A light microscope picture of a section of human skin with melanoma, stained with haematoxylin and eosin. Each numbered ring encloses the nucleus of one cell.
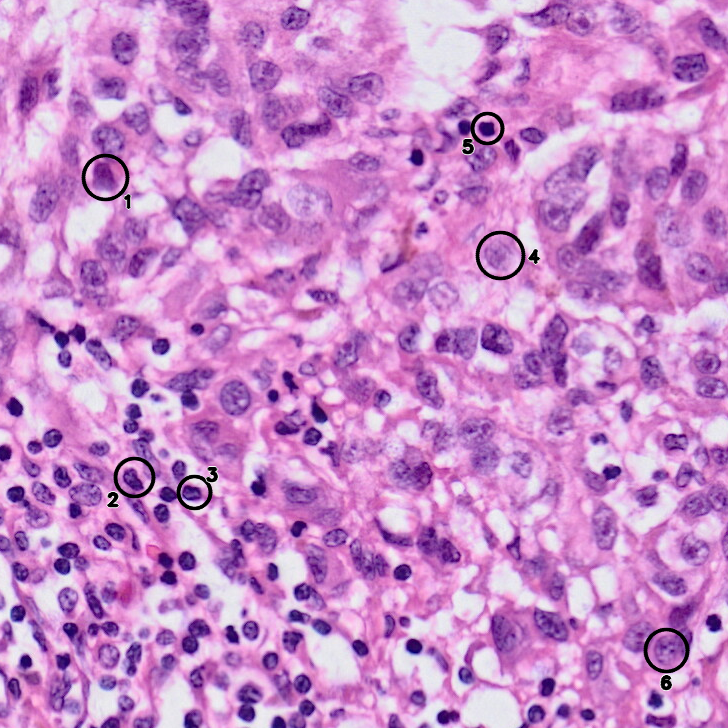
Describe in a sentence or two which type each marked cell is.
Cells 1, 4 and 6 are melanoma cells. Cells 2, 3 and 5 are lymphocytes.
